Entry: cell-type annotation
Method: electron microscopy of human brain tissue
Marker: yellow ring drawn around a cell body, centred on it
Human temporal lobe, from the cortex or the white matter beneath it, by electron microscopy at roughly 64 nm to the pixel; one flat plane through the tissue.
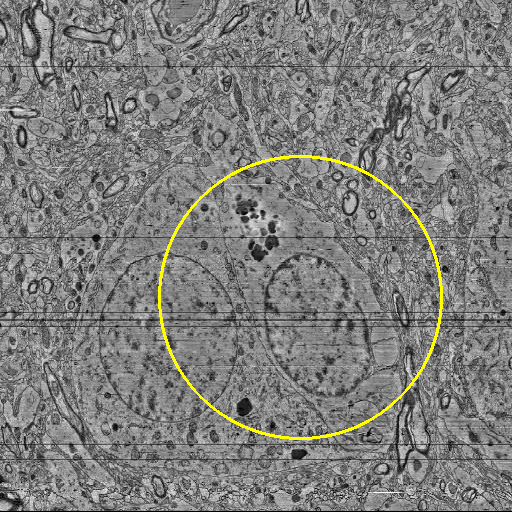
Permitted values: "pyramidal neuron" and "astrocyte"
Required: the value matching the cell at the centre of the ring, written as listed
astrocyte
